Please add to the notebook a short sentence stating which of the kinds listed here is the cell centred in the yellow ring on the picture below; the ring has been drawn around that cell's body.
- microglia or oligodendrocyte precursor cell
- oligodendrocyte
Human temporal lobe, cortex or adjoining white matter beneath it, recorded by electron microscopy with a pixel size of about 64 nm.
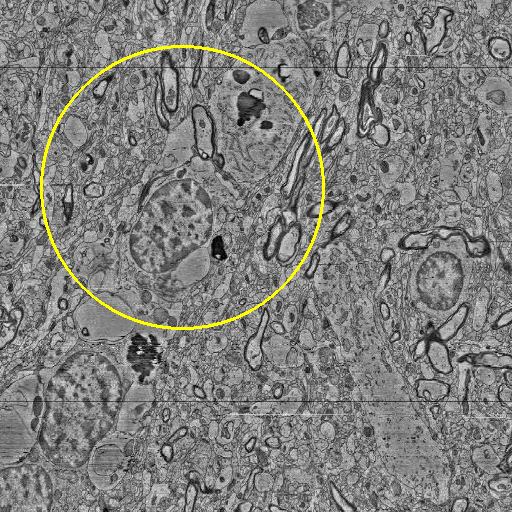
The cell centred in the yellow ring is a microglial cell or oligodendrocyte precursor cell.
